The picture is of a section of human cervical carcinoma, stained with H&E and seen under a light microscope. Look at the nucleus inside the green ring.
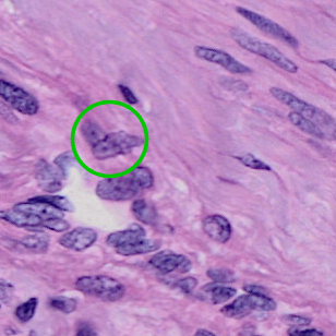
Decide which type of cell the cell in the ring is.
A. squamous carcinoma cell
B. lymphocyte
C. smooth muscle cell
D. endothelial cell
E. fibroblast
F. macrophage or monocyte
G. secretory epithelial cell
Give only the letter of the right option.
D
